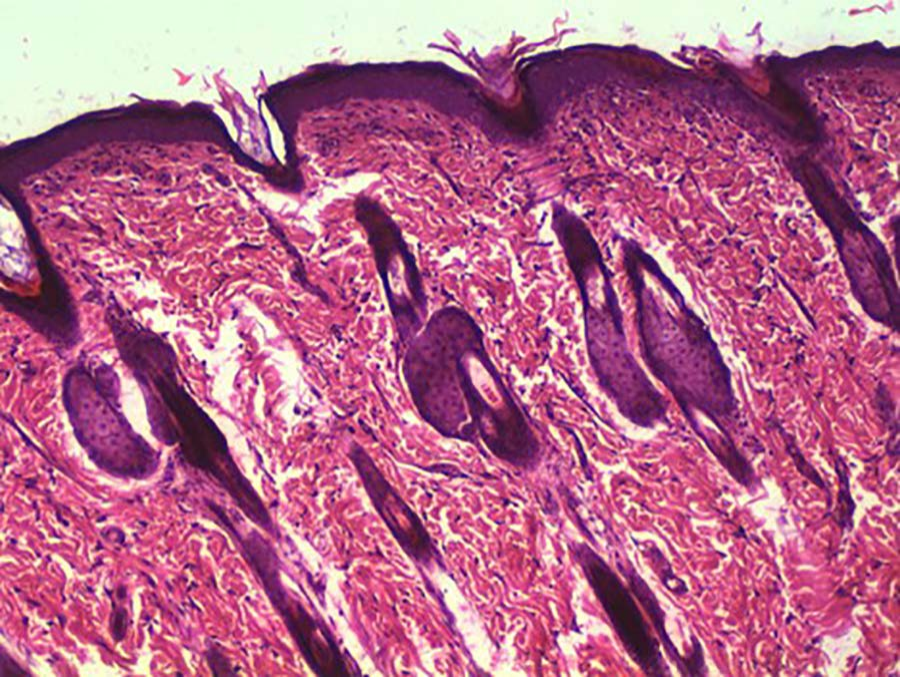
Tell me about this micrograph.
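This section of skin shows a thin, dark purple surface epidermis above a thick pink dermis of wavy collagen bundles. Small, dark nuclei are scattered between the collagen bundles. Hair follicles run obliquely through the dermis as dark purple epithelial tubes, some holding pale hair shafts, and shafts project from small depressions in the surface.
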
